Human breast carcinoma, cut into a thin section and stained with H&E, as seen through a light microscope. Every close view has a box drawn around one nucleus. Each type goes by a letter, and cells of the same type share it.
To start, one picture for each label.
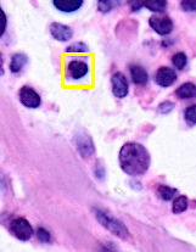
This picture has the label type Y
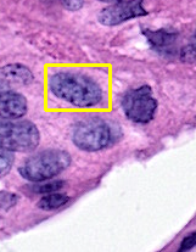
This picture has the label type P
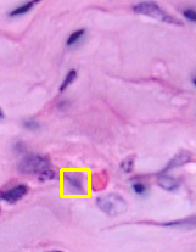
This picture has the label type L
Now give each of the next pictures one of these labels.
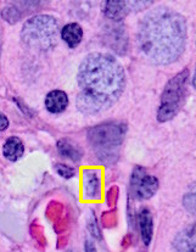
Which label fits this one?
type L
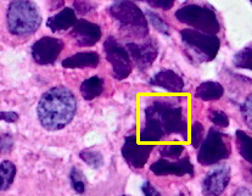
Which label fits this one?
type P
